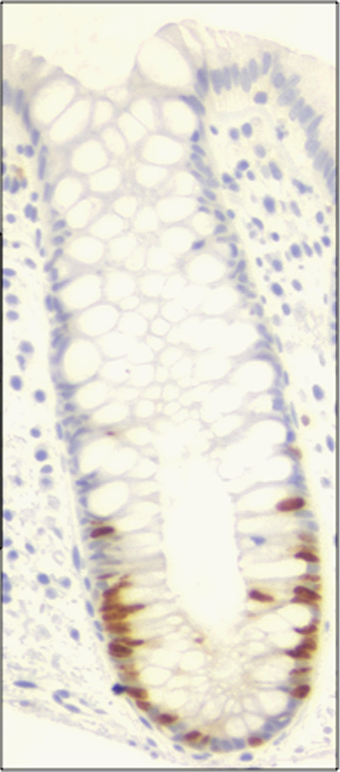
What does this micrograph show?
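This is a single colonic crypt cut lengthwise, a tube of columnar epithelium opening at the top onto the surface. The upper two-thirds is packed with goblet-like cells whose large pale mucin vacuoles give a honeycomb look, with small blue nuclei squeezed at their bases. A few blue, unstained nuclei sit among them at the very base. Around the crypt lies loose lamina propria with scattered blue nuclei of stromal cells.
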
